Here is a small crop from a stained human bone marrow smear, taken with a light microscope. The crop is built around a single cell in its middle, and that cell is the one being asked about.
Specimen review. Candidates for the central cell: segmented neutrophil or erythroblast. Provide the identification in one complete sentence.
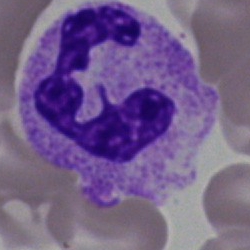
Answering briefly, the cell in the middle is a segmented neutrophil.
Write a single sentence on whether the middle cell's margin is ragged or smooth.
Along its border, the cell is uneven, whether by ragged stretches or by projections.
